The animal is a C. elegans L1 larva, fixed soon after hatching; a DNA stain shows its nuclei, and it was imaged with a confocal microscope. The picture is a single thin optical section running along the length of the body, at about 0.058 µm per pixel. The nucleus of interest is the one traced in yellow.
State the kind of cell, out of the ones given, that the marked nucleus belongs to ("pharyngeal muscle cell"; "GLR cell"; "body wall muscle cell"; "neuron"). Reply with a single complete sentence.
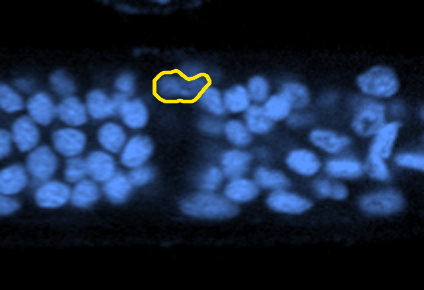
The marked cell is a body wall muscle cell.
